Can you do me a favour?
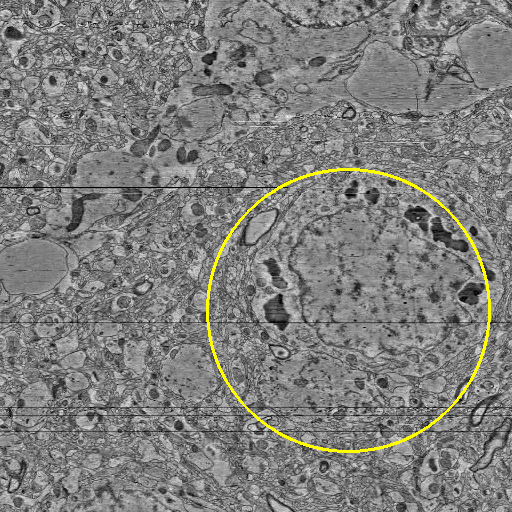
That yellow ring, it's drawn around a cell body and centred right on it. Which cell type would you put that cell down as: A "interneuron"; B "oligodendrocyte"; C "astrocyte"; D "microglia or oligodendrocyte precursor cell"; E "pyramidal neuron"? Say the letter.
A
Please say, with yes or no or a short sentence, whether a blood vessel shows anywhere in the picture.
Yes, a vessel shows somewhere in the image.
